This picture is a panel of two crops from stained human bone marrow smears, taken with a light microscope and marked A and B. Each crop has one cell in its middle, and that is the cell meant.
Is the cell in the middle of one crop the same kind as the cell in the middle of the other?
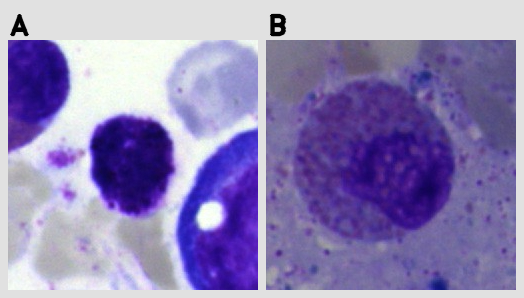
no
